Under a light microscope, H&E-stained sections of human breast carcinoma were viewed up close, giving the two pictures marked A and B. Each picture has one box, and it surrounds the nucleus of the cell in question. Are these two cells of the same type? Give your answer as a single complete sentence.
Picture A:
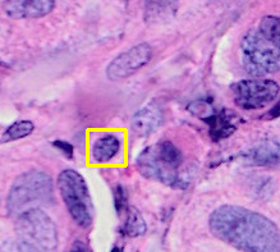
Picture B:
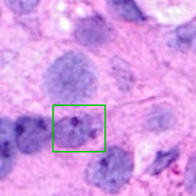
No, the types are not the same, since picture A shows a mast cell and picture B a carcinoma cell.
